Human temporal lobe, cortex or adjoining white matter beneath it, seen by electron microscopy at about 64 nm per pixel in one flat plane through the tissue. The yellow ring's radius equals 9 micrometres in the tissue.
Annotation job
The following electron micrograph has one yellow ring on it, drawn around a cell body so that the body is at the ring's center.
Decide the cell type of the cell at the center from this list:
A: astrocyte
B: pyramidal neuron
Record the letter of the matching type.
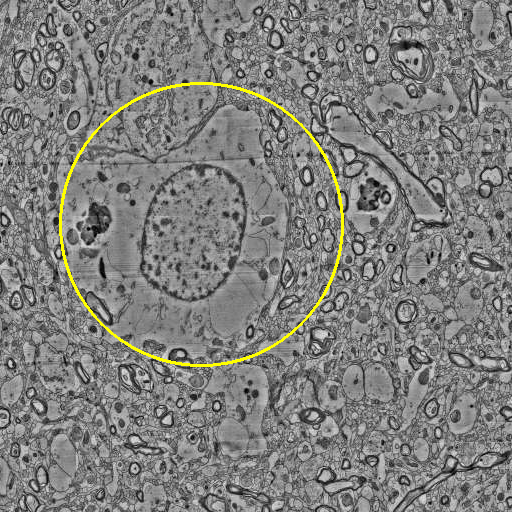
A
